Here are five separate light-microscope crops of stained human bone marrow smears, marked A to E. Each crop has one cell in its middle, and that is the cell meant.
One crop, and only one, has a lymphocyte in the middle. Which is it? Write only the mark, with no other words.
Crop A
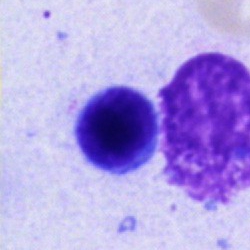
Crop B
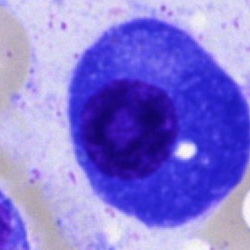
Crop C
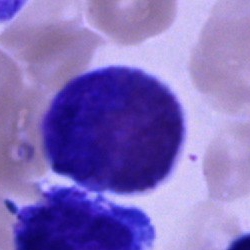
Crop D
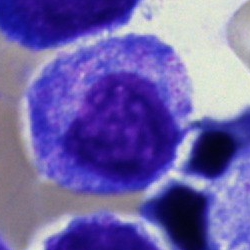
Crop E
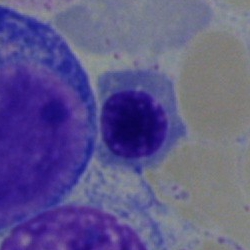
A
